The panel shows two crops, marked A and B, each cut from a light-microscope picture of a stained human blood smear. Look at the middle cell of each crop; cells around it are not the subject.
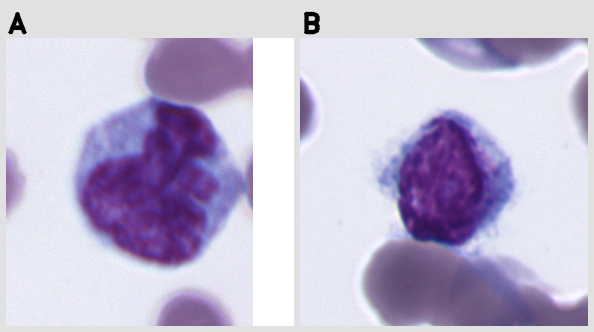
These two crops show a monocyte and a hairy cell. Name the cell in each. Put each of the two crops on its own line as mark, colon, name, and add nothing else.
A: monocyte
B: hairy cell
